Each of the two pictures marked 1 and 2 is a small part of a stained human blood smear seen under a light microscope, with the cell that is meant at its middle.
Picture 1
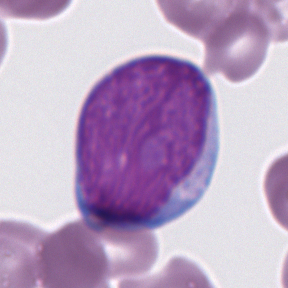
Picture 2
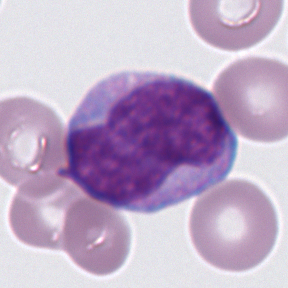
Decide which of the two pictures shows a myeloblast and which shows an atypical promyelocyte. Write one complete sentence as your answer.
Picture 2 shows an atypical promyelocyte, while picture 1 shows a myeloblast.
